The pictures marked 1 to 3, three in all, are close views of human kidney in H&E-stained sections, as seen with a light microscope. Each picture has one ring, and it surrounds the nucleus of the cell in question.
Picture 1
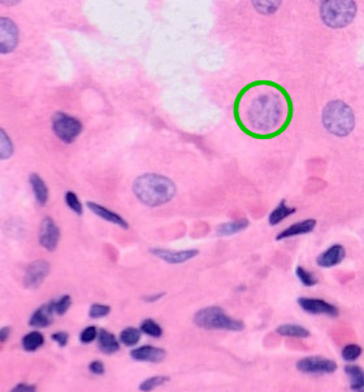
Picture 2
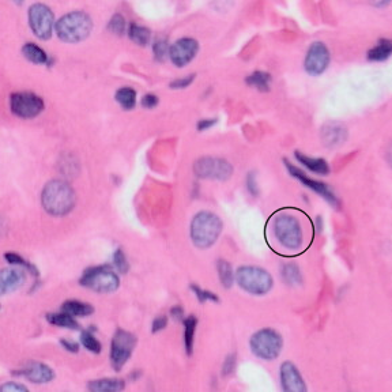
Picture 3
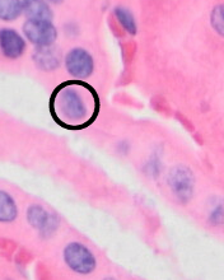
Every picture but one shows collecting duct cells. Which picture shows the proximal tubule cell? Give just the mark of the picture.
1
